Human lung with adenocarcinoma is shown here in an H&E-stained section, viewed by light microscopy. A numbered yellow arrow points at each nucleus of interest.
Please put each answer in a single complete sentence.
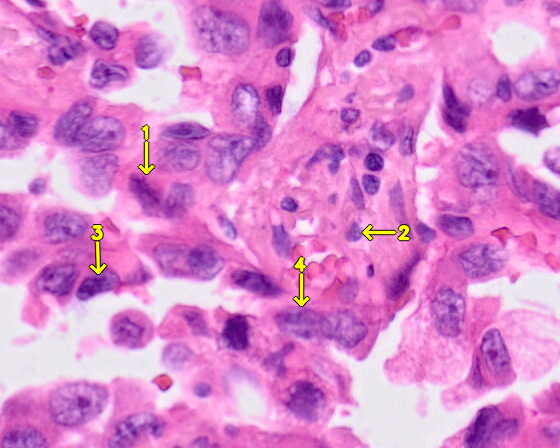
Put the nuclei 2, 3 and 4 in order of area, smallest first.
By area, going up from the smallest, they rank 2, 3, 4.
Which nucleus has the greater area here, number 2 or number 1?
Nucleus 1 is larger, with an area about 4 times that of nucleus 2.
